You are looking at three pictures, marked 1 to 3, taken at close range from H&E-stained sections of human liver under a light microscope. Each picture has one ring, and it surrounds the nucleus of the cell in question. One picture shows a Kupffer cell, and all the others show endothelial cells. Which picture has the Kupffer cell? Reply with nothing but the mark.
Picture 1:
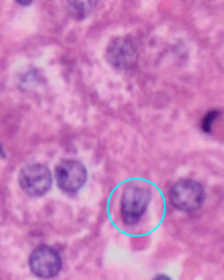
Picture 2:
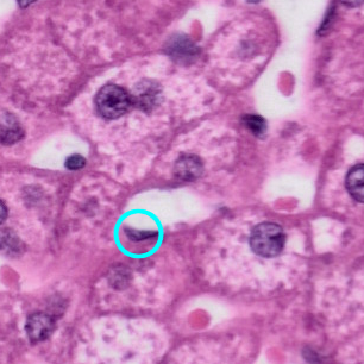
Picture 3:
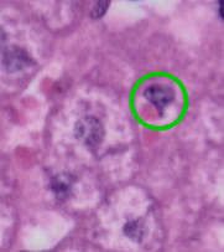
1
